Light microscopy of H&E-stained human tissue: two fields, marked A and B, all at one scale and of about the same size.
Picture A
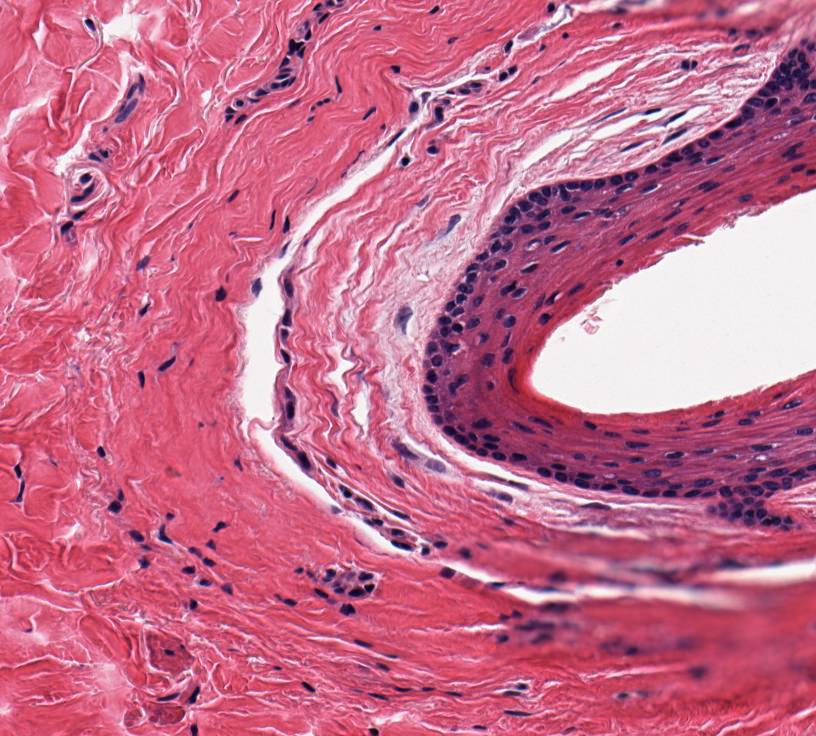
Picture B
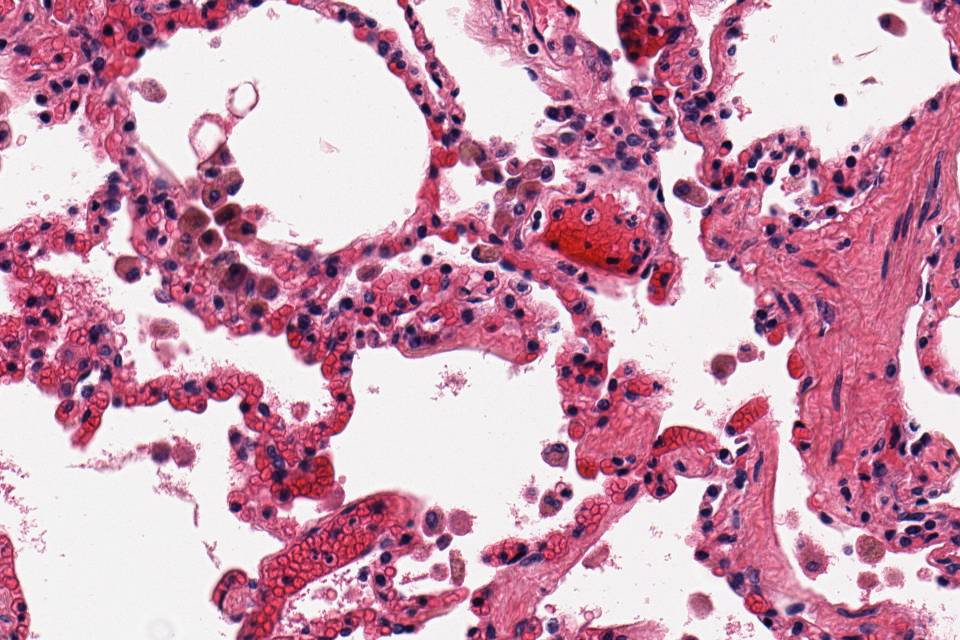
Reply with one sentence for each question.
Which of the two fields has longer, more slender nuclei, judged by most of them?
On the whole the nuclei of picture A are more drawn out than those of picture B.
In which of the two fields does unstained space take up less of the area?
It is picture A that stained tissue fills more completely.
